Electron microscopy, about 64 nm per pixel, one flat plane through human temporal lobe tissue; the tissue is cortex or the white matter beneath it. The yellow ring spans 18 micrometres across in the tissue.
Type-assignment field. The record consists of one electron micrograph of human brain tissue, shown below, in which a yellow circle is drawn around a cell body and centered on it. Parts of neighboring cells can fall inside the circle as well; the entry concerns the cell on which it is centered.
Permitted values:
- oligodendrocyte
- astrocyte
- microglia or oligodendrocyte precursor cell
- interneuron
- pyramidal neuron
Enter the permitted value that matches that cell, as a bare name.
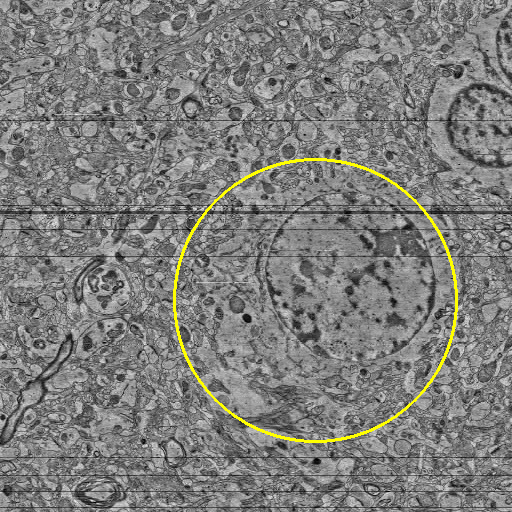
astrocyte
